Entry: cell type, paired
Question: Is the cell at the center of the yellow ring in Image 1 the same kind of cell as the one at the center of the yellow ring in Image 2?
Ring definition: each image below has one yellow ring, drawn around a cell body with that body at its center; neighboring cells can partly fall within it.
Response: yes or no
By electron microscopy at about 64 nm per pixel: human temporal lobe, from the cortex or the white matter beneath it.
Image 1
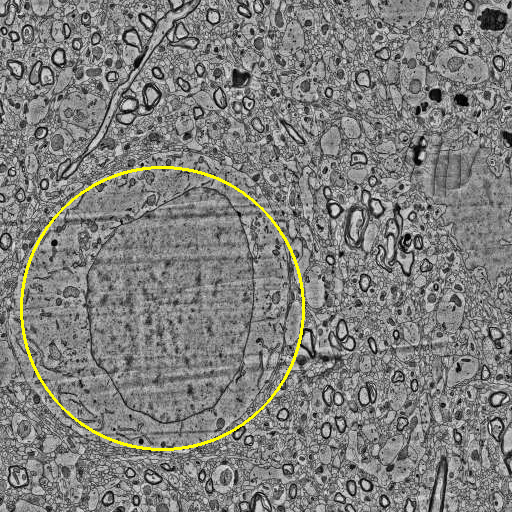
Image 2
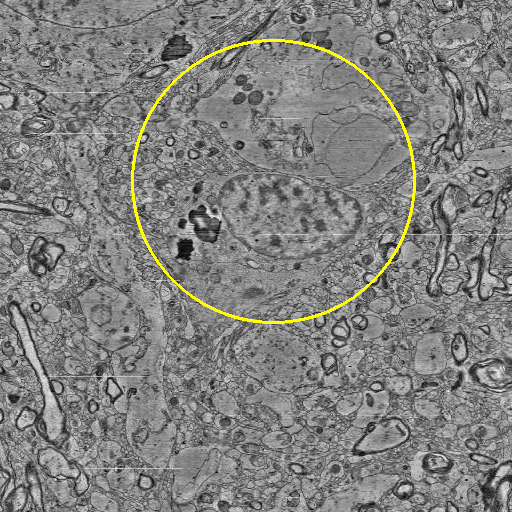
no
